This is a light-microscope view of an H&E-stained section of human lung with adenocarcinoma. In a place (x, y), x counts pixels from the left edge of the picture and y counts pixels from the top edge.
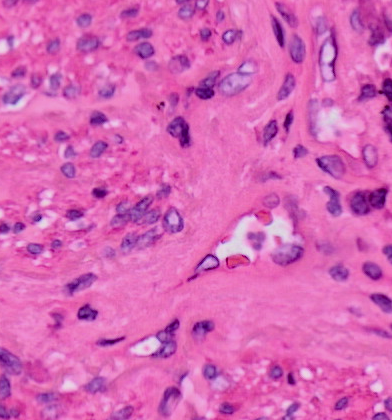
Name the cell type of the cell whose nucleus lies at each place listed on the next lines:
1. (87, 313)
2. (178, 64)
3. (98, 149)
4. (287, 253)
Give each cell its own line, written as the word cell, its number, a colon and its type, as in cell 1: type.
cell 1: mast cell
cell 2: smooth muscle cell or pericyte
cell 3: smooth muscle cell or pericyte
cell 4: endothelial cell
